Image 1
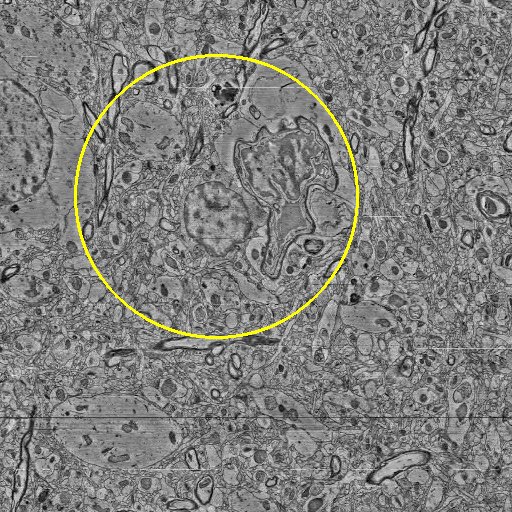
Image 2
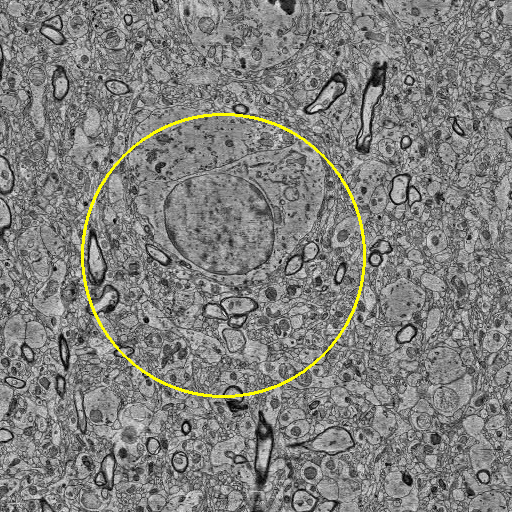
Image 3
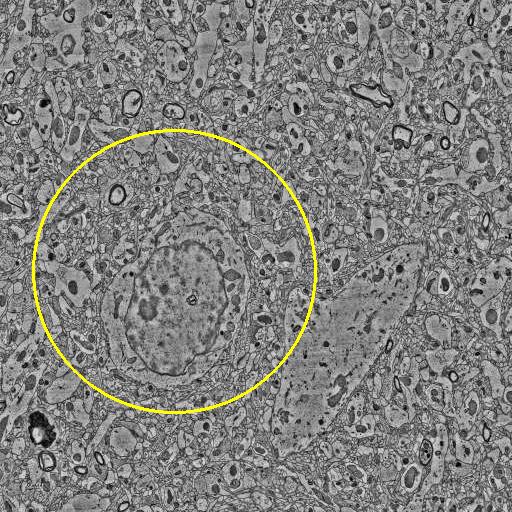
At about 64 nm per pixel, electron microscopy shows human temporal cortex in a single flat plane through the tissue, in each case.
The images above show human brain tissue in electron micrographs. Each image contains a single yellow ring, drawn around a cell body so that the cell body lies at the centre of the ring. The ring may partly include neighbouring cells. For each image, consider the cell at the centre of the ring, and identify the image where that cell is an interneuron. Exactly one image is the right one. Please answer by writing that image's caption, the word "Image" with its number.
Image 3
